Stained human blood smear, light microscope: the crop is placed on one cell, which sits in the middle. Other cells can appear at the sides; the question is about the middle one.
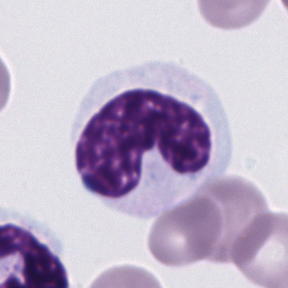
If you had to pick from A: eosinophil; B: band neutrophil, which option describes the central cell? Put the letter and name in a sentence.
It is a band neutrophil that occupies the centre of the crop, so option B is correct.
